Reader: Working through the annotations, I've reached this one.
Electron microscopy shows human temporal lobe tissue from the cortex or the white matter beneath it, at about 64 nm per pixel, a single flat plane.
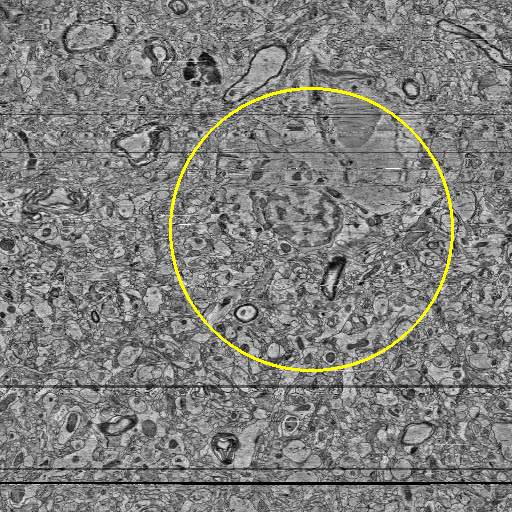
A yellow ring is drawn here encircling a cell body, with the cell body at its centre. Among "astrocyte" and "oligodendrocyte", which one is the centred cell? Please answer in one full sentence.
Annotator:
The cell body at the centre of the yellow ring in this image belongs to an oligodendrocyte.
